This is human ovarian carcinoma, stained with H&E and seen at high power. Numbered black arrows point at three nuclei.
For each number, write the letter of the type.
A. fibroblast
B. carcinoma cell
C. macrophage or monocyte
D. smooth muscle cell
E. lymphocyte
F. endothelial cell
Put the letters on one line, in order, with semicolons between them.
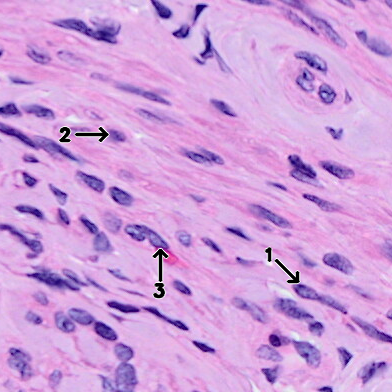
D; D; F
